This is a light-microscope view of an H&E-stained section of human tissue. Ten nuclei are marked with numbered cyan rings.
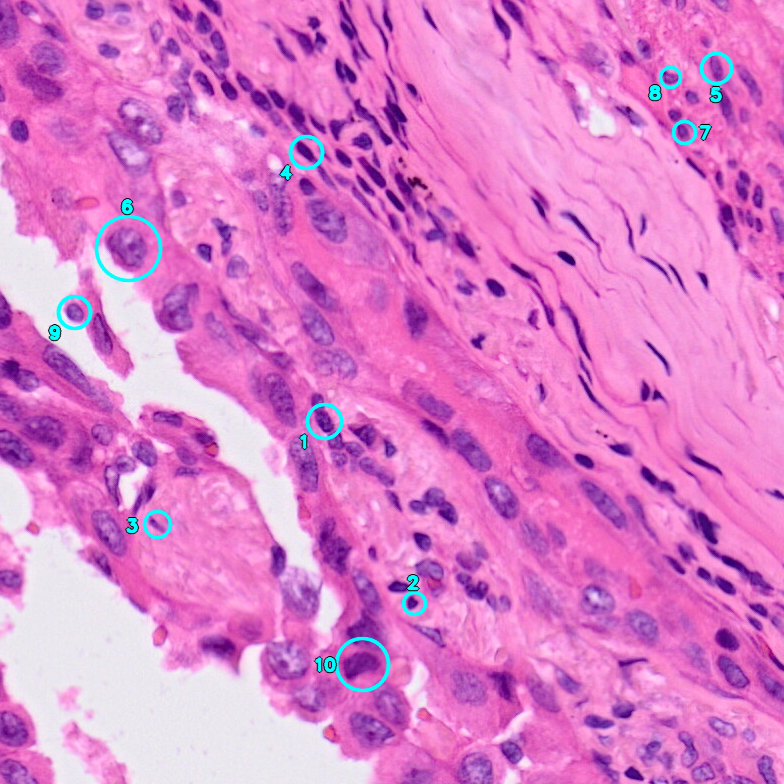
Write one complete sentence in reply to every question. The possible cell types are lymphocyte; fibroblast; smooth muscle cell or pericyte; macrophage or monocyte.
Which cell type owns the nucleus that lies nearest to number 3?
It is a fibroblast whose nucleus is nearest to number 3.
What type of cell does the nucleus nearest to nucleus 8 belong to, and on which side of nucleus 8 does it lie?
A smooth muscle cell or pericyte lies closest, below and to the right of nucleus 8.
